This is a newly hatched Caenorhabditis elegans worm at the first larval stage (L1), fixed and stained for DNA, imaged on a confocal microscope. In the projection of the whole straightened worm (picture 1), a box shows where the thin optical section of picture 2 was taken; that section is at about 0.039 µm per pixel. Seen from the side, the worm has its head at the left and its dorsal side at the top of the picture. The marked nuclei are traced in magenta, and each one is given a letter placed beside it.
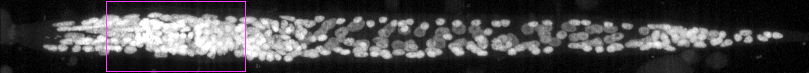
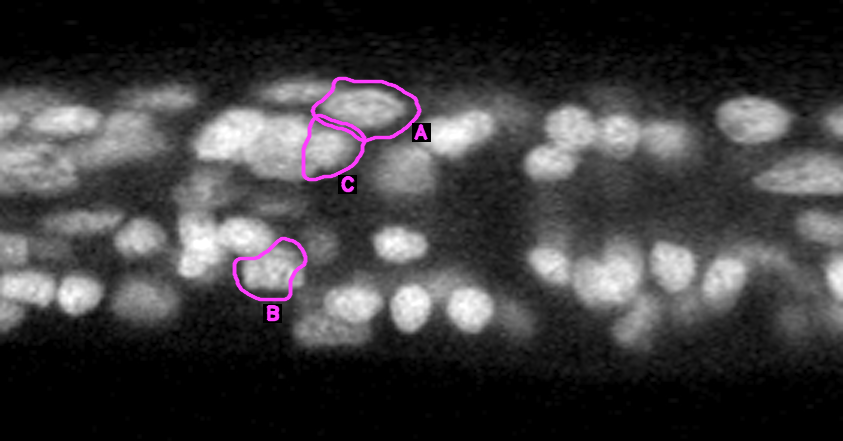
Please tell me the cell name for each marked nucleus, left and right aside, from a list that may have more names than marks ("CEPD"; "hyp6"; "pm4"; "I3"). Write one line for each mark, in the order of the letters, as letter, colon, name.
A: hyp6
B: pm4
C: I3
